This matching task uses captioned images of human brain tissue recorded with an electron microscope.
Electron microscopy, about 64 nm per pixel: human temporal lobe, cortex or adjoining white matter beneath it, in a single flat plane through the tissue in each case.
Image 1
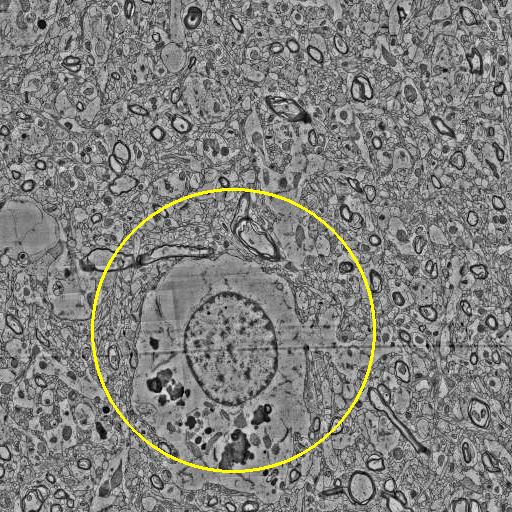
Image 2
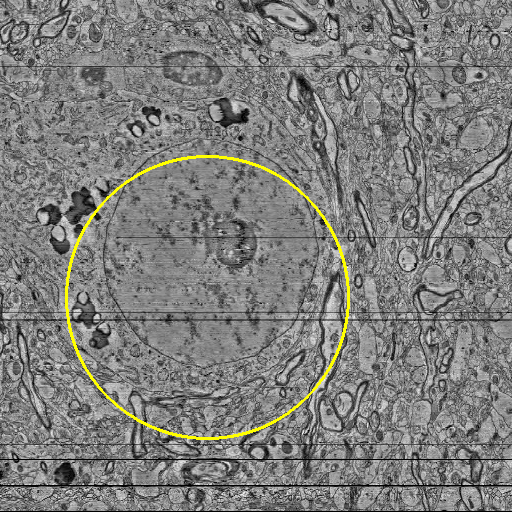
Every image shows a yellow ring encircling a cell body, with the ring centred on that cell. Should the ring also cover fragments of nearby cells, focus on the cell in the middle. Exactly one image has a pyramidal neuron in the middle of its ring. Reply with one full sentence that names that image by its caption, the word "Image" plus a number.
Image 2 shows the cell in question at the centre of its yellow ring.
